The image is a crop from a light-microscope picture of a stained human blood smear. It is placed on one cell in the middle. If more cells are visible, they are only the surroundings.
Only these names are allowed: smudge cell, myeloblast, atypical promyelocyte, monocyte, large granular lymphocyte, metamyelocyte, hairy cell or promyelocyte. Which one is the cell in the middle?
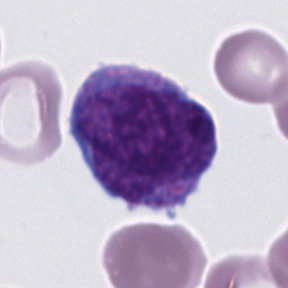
atypical promyelocyte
